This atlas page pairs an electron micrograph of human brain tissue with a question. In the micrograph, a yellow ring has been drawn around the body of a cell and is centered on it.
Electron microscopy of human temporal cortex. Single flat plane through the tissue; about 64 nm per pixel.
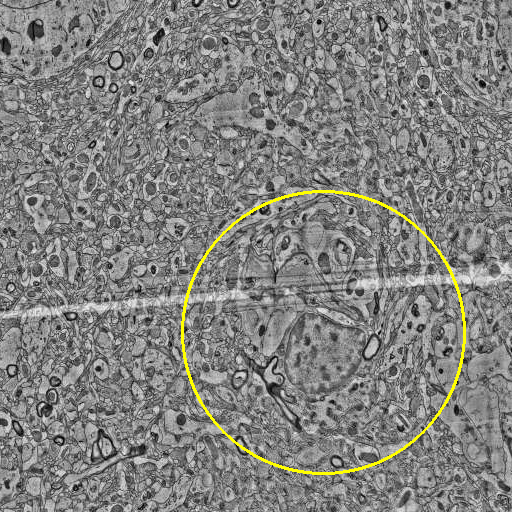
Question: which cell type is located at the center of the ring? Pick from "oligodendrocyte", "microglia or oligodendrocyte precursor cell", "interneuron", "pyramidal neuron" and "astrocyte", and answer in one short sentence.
Located at the center of the ring is an oligodendrocyte.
